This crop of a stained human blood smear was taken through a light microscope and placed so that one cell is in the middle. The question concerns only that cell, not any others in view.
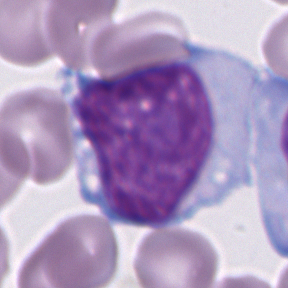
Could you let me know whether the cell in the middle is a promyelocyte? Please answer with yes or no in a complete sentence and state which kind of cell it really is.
No, the cell in the centre is to be called a myeloblast instead of a promyelocyte.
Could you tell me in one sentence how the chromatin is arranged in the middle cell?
In this cell the chromatin is fine rather than coarsely clumped.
